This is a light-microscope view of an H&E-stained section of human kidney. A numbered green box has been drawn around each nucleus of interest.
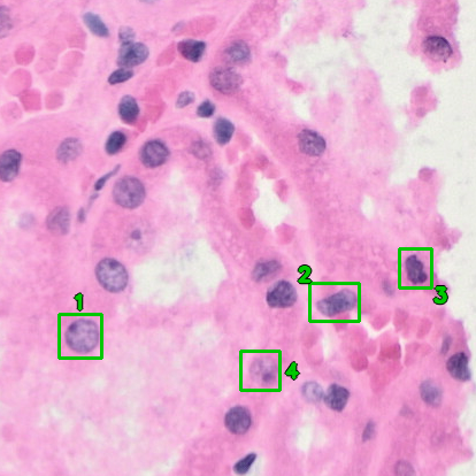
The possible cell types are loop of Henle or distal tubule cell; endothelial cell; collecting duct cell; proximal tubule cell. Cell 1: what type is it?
proximal tubule cell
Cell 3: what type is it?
proximal tubule cell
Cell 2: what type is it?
endothelial cell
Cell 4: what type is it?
proximal tubule cell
